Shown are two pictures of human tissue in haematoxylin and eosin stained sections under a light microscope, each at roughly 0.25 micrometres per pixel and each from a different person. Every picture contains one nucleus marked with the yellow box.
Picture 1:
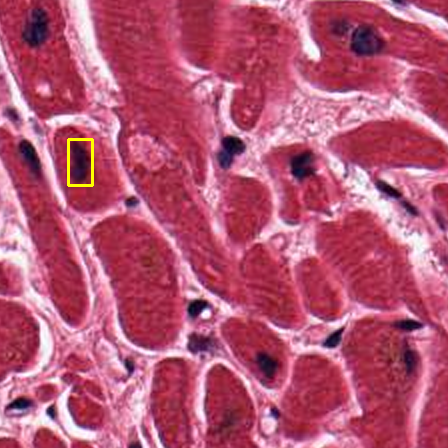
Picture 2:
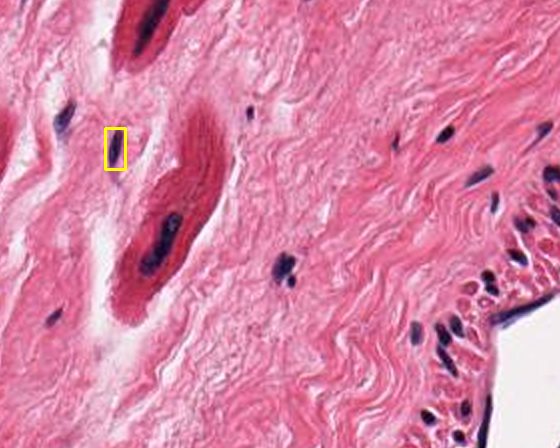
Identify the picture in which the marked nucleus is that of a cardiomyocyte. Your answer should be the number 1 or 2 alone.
1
